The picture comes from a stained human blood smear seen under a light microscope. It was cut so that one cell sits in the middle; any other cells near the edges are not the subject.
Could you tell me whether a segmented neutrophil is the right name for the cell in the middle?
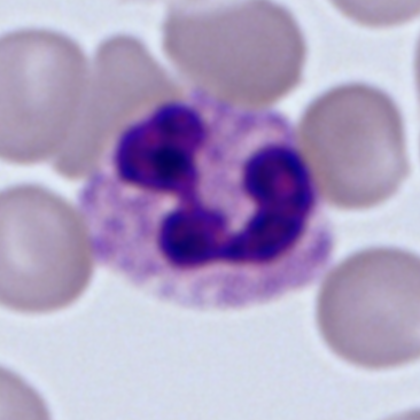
yes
